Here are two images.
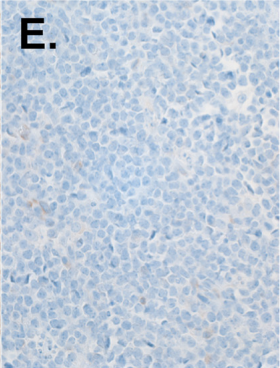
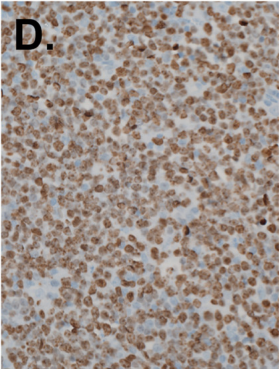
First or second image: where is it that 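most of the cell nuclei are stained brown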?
the second image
